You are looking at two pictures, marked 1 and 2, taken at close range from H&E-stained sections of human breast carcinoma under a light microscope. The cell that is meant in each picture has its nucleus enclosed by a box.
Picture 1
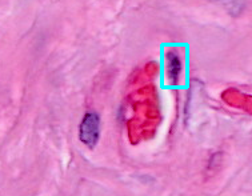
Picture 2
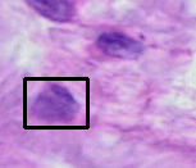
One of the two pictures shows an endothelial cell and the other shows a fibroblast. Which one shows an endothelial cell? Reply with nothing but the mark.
1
